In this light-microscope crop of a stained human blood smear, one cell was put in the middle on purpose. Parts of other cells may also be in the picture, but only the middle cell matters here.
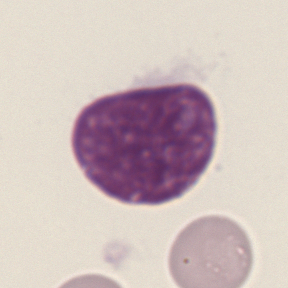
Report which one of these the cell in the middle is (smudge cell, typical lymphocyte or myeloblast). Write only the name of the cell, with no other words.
smudge cell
